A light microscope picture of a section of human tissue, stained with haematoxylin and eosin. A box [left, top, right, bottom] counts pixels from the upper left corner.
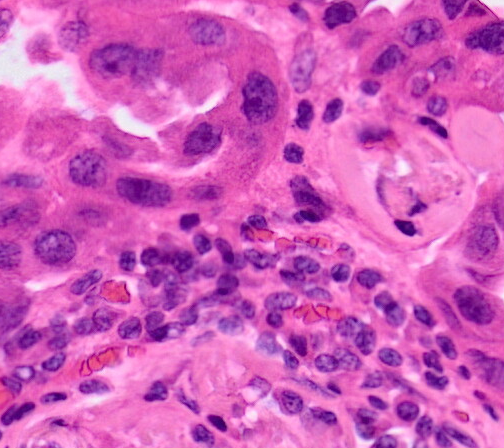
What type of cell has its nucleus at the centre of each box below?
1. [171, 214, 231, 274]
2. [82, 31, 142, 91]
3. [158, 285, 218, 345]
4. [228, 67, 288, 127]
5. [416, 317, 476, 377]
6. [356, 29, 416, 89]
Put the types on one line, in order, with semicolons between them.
lymphocyte; carcinoma cell; lymphocyte; carcinoma cell; lymphocyte; carcinoma cell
